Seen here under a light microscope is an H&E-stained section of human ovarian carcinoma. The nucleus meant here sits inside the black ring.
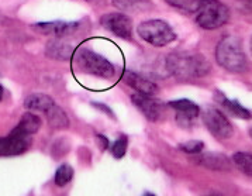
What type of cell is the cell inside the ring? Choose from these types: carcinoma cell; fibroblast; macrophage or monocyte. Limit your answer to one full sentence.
Typologically, the cell inside the ring is a carcinoma cell in this section.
